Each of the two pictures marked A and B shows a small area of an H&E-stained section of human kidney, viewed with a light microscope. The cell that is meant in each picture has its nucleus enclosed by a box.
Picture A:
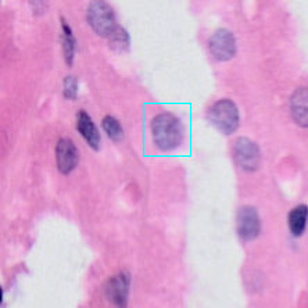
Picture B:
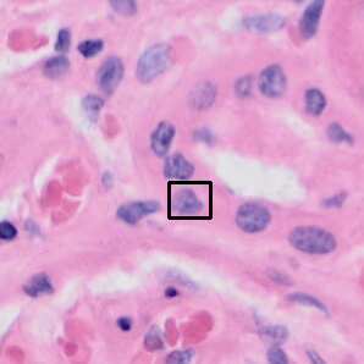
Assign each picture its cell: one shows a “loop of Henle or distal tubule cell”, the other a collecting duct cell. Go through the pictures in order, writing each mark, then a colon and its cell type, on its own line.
A: loop of Henle or distal tubule cell
B: collecting duct cell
